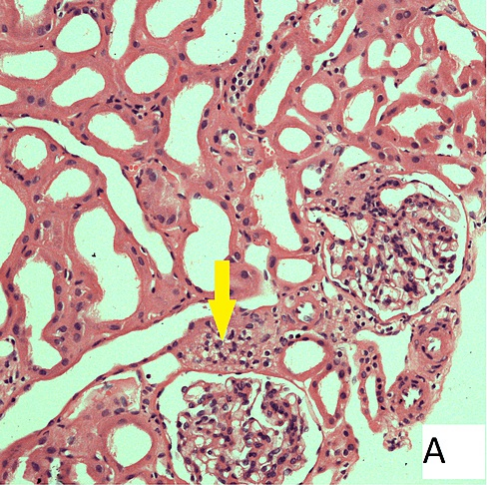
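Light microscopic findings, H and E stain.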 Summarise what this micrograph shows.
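Kidney cortex with two glomeruli and surrounding tubules in pink-stained section. Between the two glomeruli, at the vascular pole region, lies a crowded cluster of small cells with dark round nuclei, more numerous than the sparse interstitial cells elsewhere. The glomeruli are cellular tufts with many dark nuclei inside thin Bowman's capsules. Surrounding tubules have pink cytoplasm, scattered round nuclei and open, rather dilated lumina. The interstitium between tubules is narrow.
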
